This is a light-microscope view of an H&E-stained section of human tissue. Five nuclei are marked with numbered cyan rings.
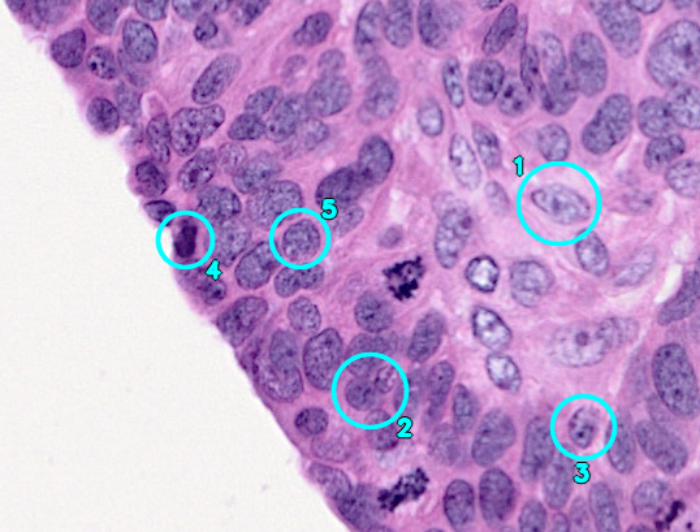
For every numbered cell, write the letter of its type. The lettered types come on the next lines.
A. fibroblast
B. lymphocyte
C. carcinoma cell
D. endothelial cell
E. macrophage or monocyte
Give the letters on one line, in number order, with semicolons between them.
A; C; E; C; C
